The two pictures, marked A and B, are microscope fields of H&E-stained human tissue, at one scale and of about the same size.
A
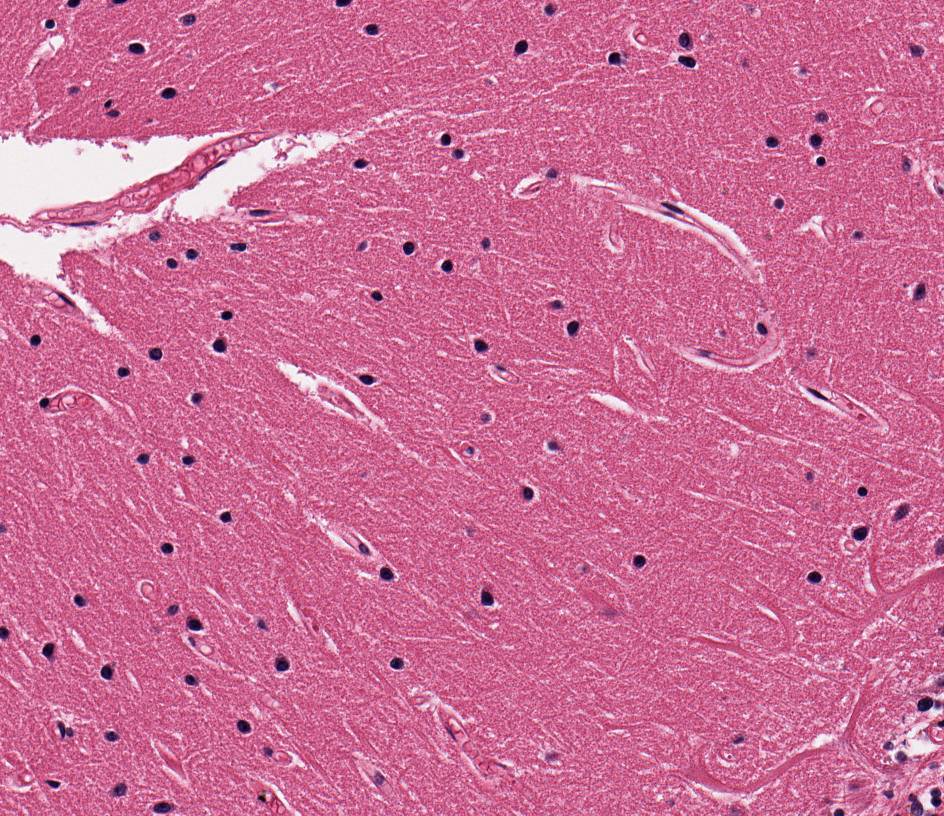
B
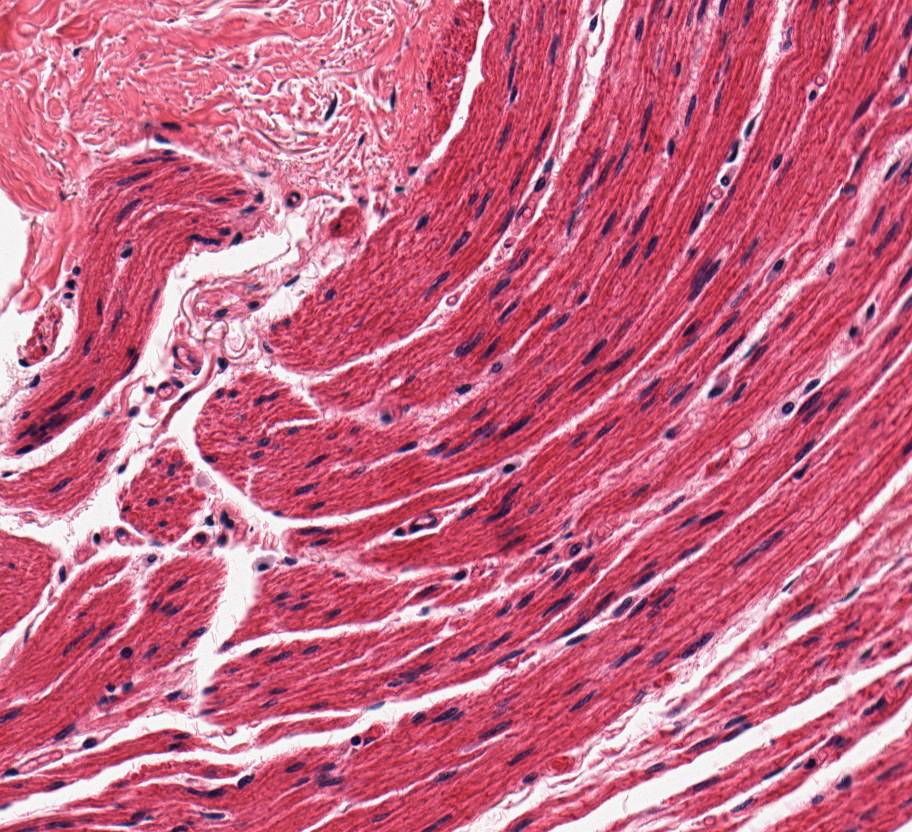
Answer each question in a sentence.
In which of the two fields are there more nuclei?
There are more nuclei in picture B.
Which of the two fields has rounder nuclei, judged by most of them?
On the whole the nuclei of picture A are rounder than those of picture B.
